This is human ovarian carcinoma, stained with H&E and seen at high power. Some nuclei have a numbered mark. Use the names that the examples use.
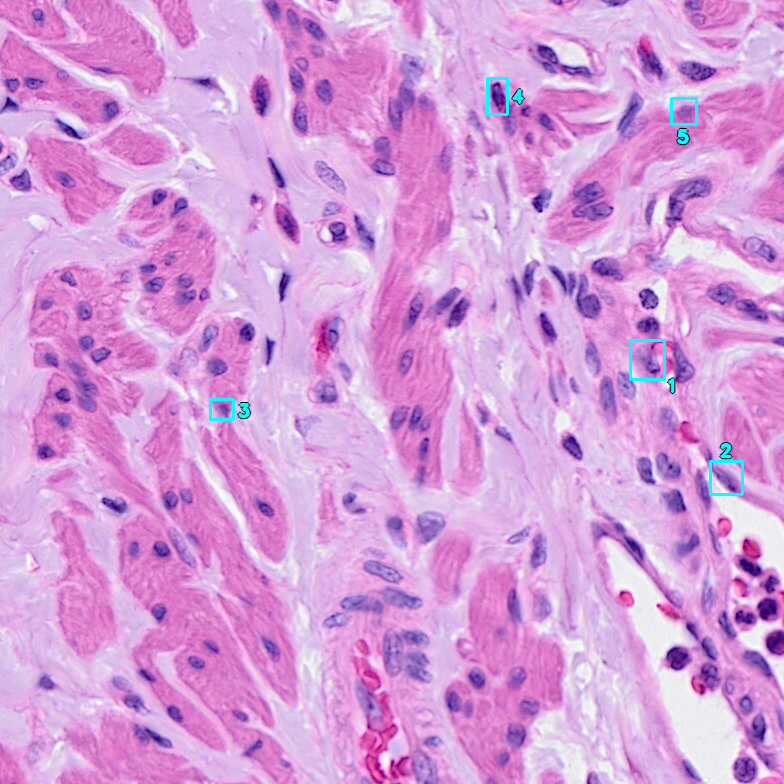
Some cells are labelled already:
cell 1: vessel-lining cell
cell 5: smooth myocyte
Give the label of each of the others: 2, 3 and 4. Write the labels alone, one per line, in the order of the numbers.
vessel-lining cell
smooth myocyte
vessel-lining cell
